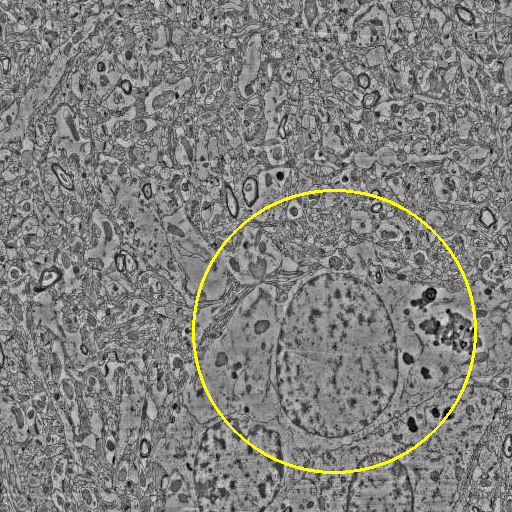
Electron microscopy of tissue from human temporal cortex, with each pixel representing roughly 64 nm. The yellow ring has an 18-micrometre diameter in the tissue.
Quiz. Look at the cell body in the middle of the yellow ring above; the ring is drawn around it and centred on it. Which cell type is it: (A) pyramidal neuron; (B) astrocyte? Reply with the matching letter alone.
B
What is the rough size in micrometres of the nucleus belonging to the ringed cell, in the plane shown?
Roughly 10 by 8 micrometres in this plane, for the nucleus of the ringed cell.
